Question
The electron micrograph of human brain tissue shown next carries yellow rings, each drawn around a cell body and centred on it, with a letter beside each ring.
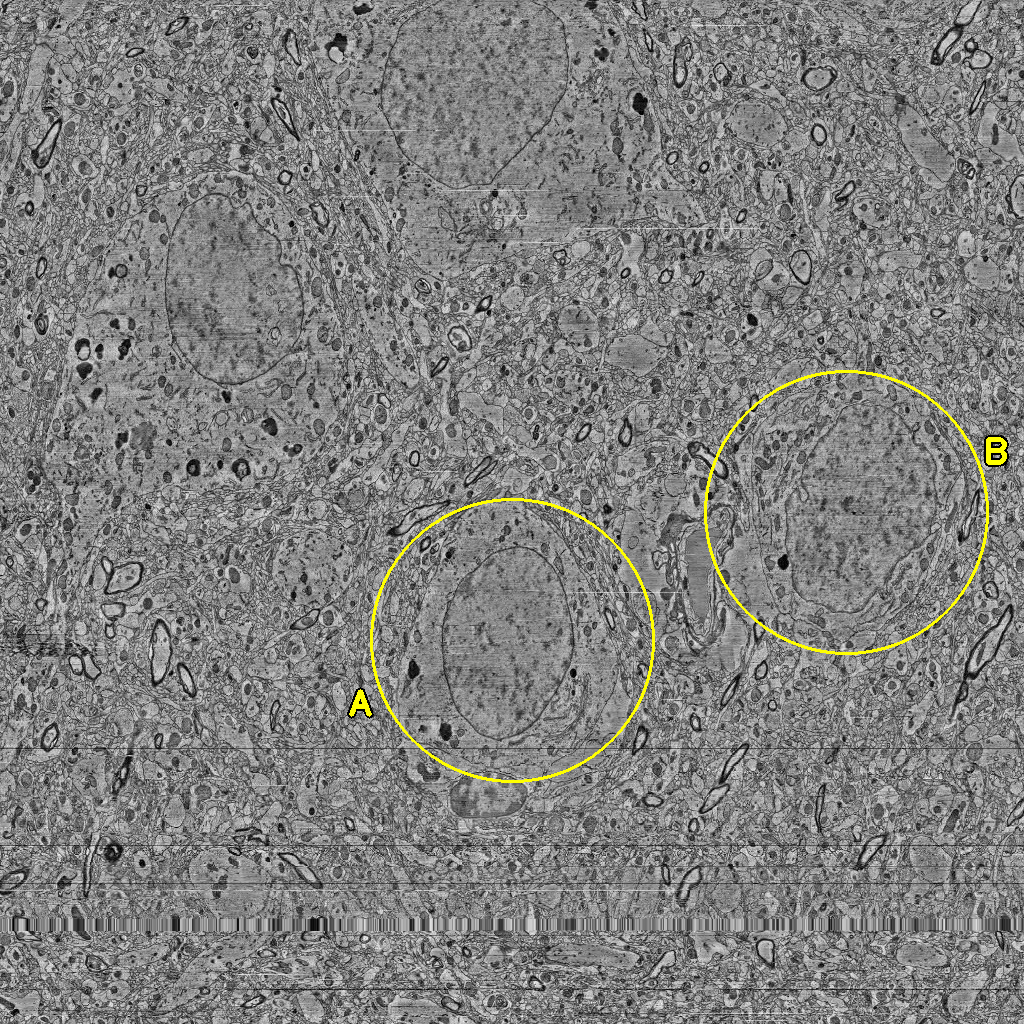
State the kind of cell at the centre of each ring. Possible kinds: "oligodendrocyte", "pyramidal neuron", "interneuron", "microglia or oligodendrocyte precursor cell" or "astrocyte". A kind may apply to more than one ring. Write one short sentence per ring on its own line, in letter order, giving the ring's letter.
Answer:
The cell centred in ring A is a pyramidal neuron.
The cell centred in ring B is an interneuron.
